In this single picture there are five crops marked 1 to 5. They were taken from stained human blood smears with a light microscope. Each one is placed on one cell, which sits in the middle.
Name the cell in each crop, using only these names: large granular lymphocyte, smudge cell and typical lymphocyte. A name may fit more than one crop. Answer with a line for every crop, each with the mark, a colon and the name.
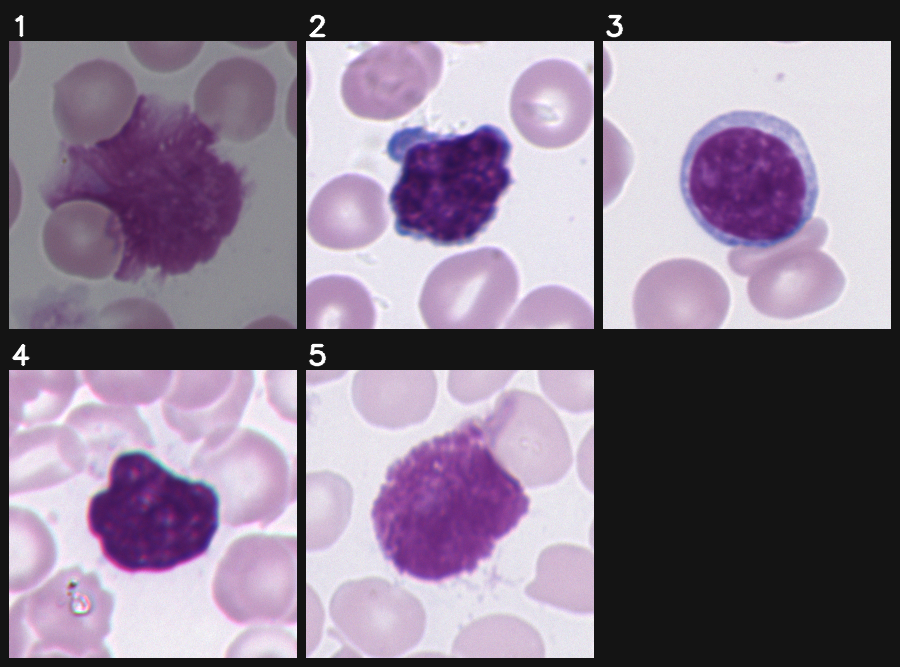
1: smudge cell
2: typical lymphocyte
3: typical lymphocyte
4: smudge cell
5: smudge cell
